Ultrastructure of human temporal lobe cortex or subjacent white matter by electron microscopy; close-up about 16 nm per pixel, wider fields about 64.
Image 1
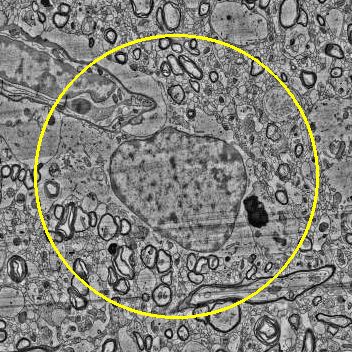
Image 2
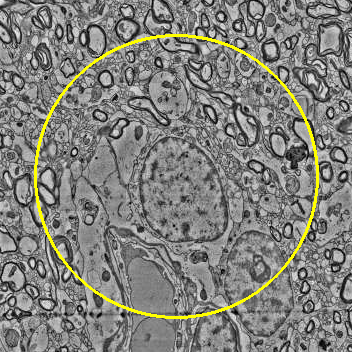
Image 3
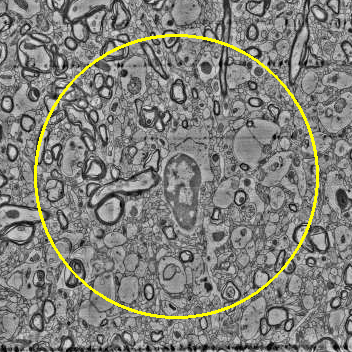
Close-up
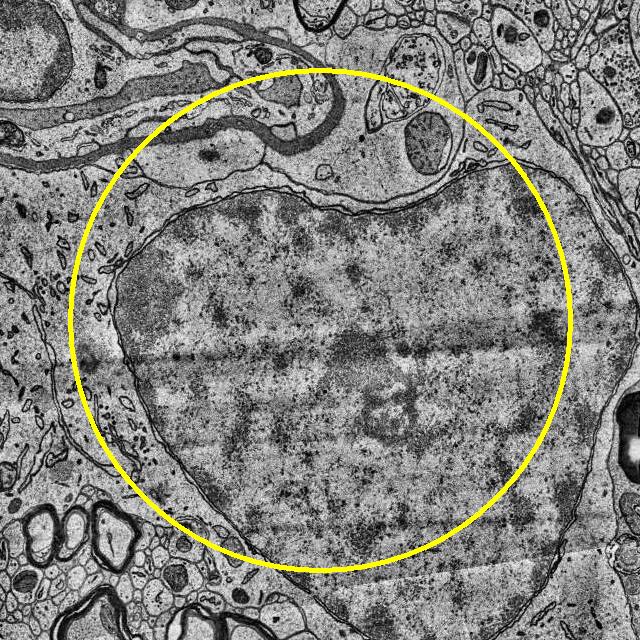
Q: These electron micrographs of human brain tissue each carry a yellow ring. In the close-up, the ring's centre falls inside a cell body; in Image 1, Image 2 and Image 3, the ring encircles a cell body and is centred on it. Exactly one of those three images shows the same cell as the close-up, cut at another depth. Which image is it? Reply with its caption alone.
Image 1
